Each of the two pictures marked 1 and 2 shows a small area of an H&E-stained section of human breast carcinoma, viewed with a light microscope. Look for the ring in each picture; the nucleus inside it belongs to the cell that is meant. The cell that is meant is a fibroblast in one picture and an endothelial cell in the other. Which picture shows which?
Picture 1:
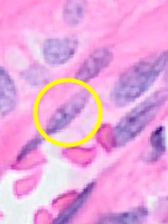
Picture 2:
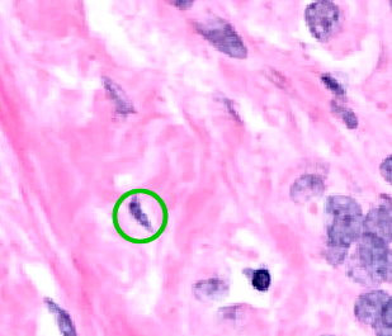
1: endothelial cell
2: fibroblast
